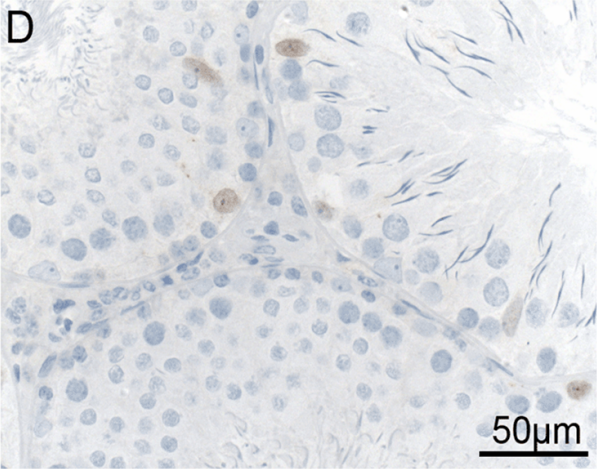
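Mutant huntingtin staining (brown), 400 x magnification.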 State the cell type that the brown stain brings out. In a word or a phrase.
Sertoli cells.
